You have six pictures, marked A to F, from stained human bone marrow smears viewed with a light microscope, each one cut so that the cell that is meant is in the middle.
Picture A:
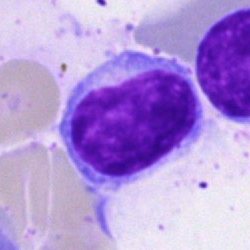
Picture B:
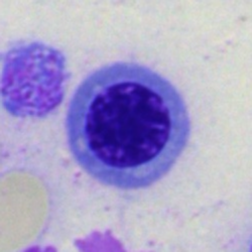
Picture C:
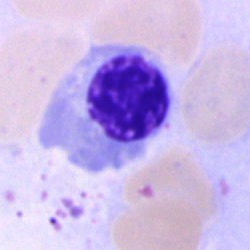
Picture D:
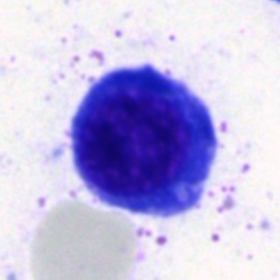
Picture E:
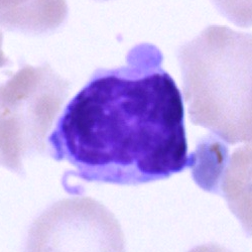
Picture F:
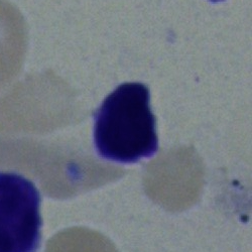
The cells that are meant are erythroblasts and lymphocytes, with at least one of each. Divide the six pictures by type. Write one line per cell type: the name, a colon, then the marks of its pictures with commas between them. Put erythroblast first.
erythroblast: B, C, D
lymphocyte: A, E, F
